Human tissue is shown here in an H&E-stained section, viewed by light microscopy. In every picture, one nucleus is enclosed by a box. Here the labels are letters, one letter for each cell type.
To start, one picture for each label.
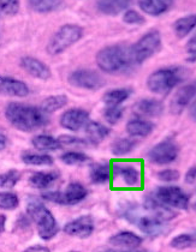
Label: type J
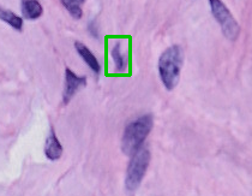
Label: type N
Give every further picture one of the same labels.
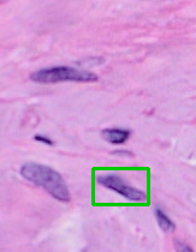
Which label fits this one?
type N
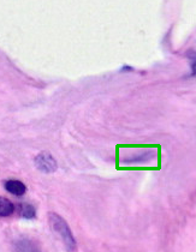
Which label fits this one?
type N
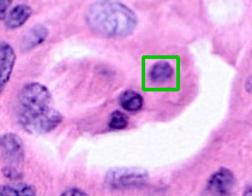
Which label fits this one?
type J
